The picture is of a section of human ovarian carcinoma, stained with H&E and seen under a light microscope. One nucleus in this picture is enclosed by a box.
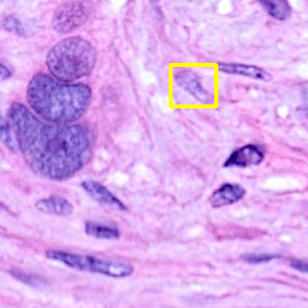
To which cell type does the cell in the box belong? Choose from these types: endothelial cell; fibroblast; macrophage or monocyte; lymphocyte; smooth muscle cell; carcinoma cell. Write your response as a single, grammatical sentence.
In the context of this tissue, the cell in the box is a fibroblast.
